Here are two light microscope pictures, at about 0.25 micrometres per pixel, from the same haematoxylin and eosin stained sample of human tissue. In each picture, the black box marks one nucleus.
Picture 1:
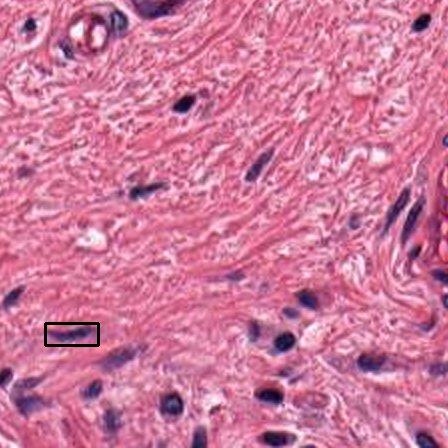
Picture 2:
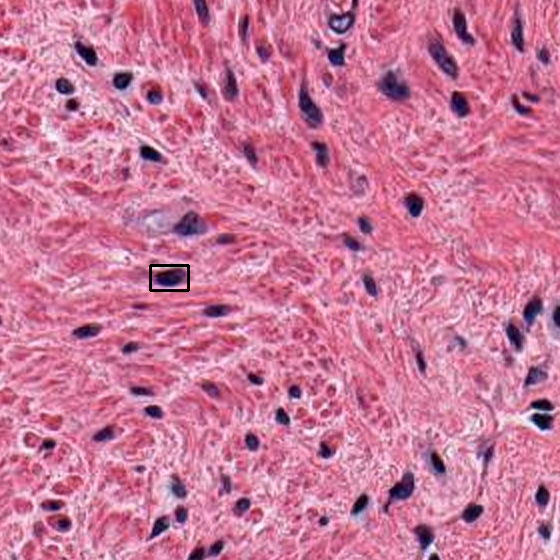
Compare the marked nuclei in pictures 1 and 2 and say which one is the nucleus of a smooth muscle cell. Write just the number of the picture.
2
